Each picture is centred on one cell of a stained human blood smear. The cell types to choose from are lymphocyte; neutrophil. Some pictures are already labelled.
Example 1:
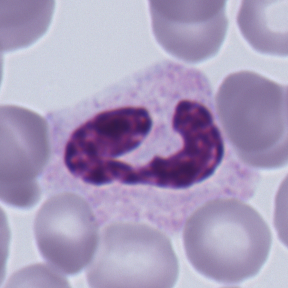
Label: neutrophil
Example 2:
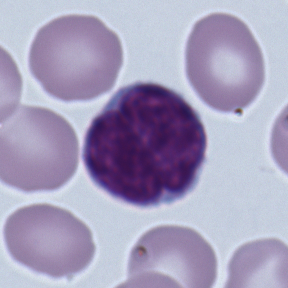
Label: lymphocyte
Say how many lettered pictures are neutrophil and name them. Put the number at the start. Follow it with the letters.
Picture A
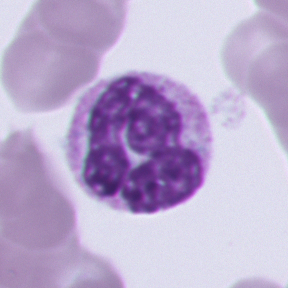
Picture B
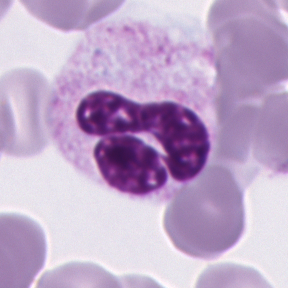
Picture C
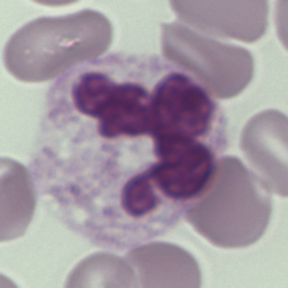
Count: 3 (A, B, C)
